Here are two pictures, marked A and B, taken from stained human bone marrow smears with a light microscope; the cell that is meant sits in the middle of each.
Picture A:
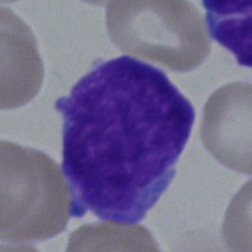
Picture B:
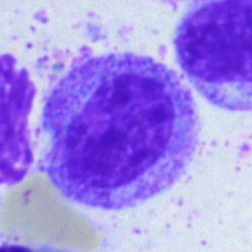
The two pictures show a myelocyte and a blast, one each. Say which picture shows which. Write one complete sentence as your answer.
Picture A shows a blast and picture B shows a myelocyte.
